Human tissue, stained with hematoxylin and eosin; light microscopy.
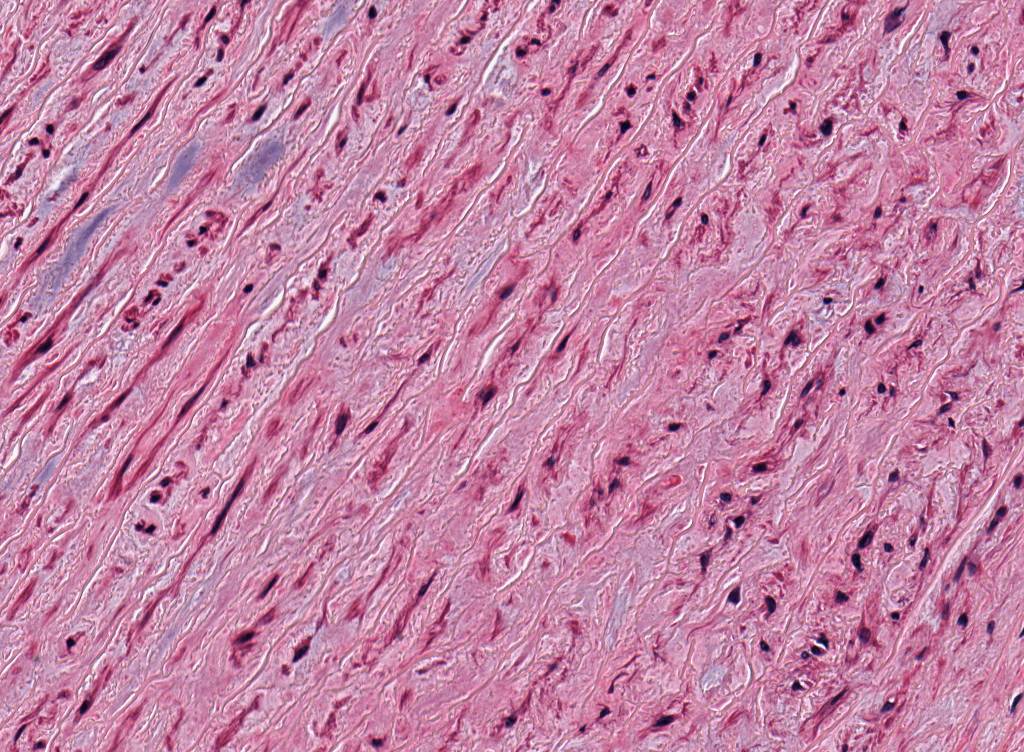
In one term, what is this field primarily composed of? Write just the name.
tunica media of an artery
